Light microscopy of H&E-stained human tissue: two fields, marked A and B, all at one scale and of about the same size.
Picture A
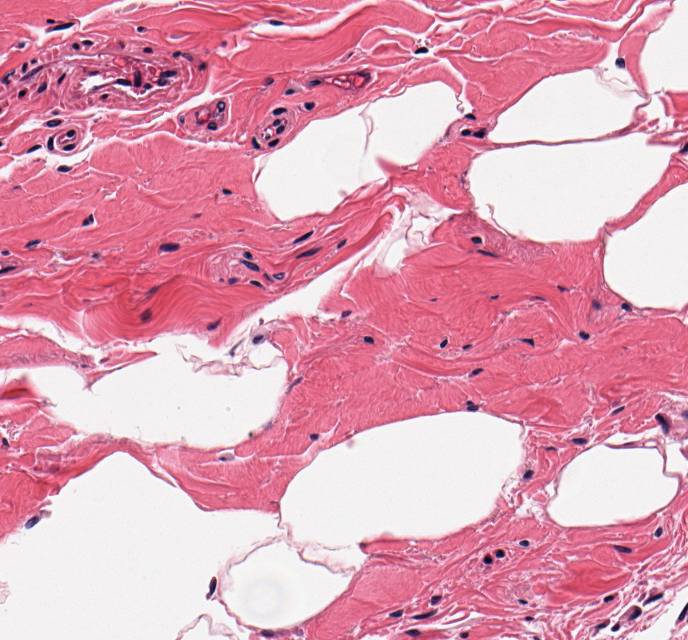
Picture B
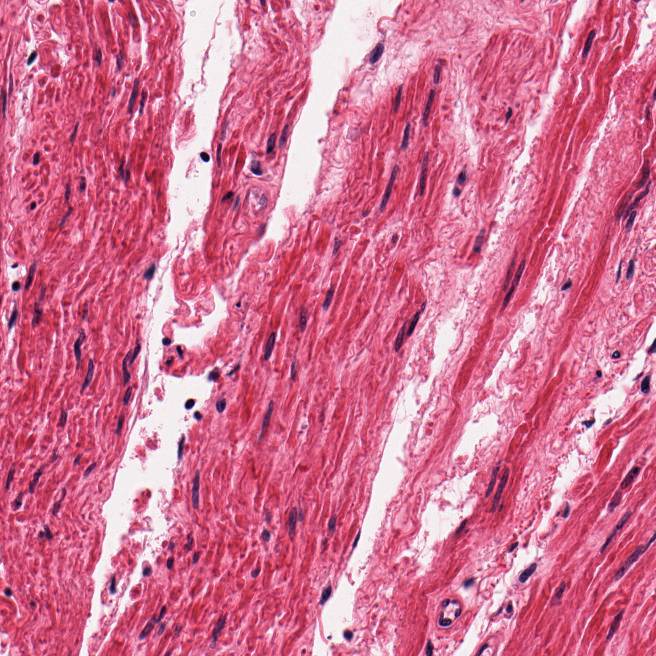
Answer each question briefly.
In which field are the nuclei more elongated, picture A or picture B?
B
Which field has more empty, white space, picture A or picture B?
A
